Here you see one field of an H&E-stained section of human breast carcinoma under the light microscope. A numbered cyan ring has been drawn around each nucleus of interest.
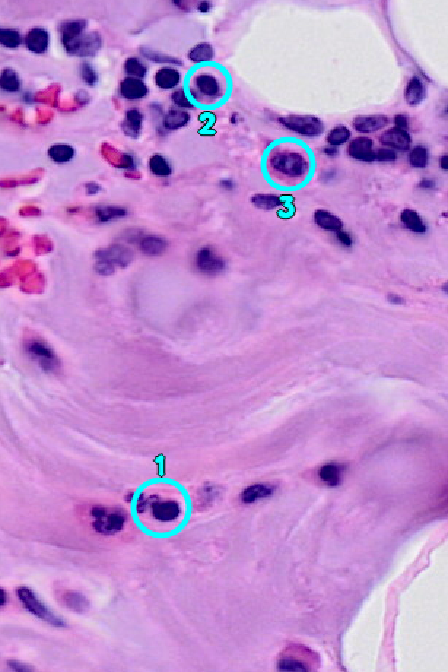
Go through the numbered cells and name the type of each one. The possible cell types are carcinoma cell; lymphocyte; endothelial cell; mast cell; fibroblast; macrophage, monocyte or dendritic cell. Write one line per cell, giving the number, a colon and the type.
1: lymphocyte
2: lymphocyte
3: mast cell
